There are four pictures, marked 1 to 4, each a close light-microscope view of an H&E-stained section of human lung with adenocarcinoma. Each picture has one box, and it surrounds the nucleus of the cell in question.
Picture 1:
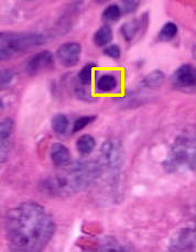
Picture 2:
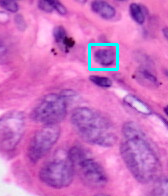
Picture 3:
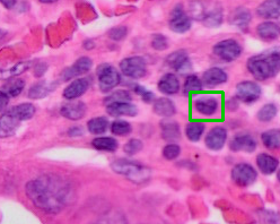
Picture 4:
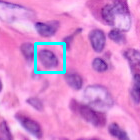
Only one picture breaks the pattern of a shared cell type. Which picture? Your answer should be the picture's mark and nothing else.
2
